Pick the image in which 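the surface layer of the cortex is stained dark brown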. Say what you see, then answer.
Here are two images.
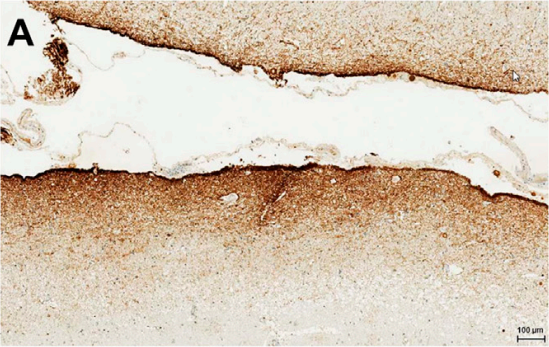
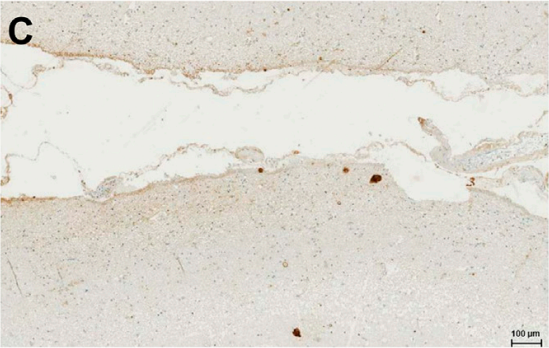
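The first image. Second image: the cortex on both sides of the cleft is pale, with only a few isolated brown dots. First image: a dark brown band runs along the cortical surfaces, fading with depth.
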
